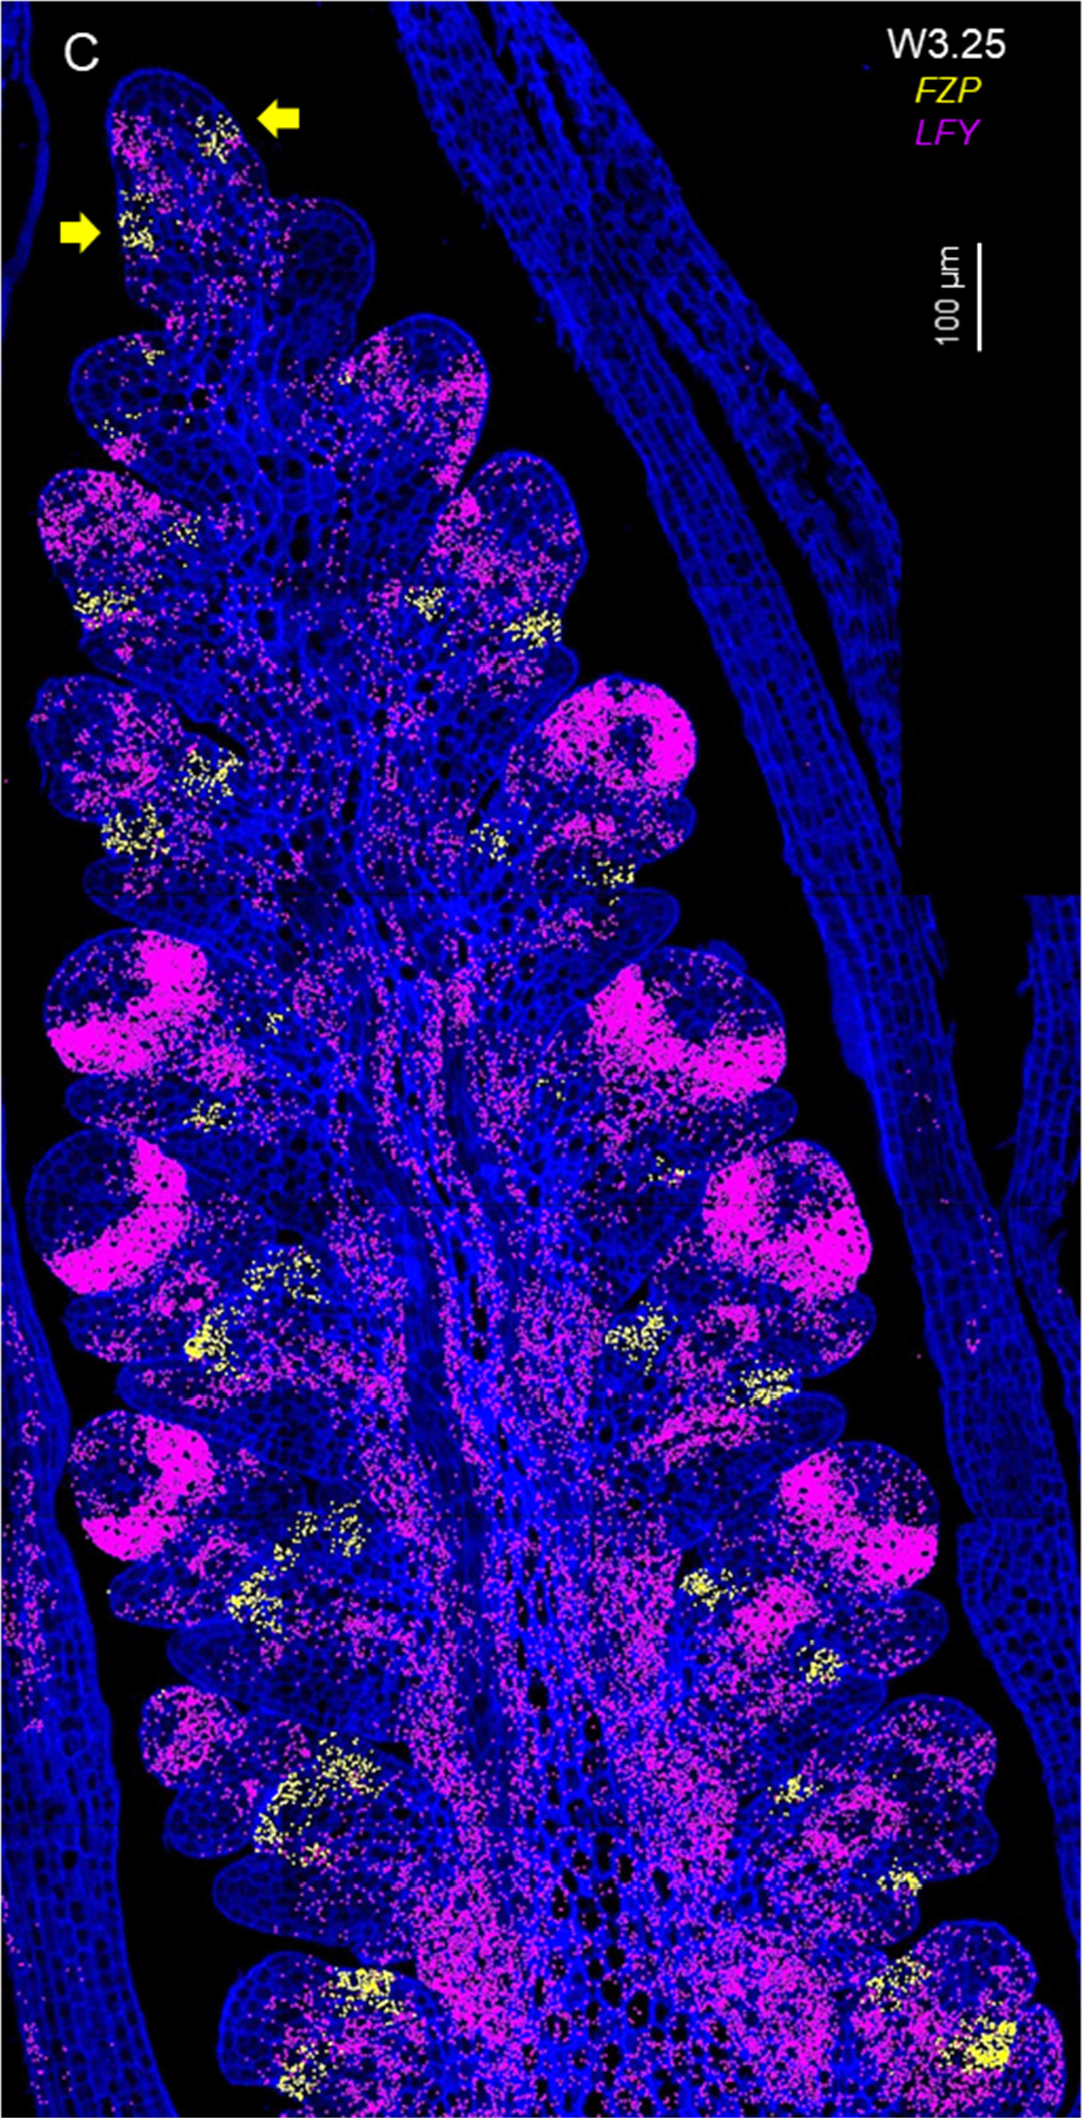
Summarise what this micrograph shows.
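This is a longitudinal section through a developing inflorescence at the lemma primordia stage, with rounded lateral meristems set alternately along both sides of a central axis. Dark blue cell walls outline small, tightly packed cells in the lateral meristems and longer, narrower cells running along the central axis and in the sheathing leaves at the sides. Yellow dots gather in compact clusters at the flanks or bases of the lateral meristems, close to the axis. Toward the tip the lateral meristems become smaller, and yellow clusters also lie in the youngest of them.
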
